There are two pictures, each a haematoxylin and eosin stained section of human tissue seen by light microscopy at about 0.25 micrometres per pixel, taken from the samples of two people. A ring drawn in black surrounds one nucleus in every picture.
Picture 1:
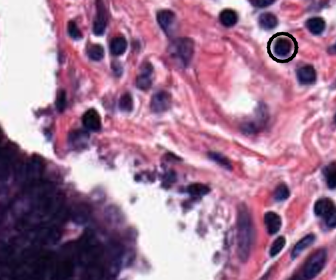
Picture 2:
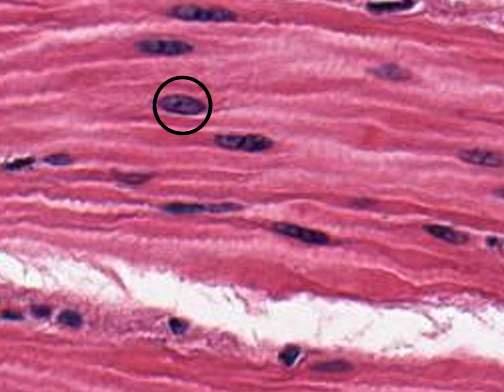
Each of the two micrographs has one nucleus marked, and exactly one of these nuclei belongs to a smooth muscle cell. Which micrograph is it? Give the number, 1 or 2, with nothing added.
2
